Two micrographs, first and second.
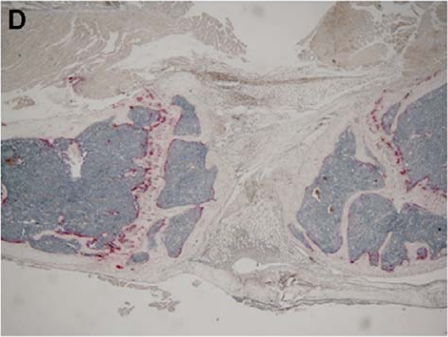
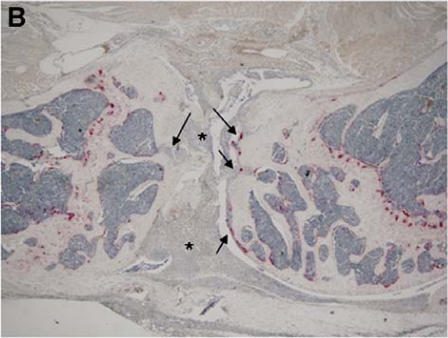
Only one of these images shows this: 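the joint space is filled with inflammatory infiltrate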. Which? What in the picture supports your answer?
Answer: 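First image: the space between the bone ends holds loose, unremarkable soft tissue without a dense cellular mass. Second image: the joint space is occupied by dense pale cellular tissue next to irregular bone edges.
Conclusion: the second image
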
